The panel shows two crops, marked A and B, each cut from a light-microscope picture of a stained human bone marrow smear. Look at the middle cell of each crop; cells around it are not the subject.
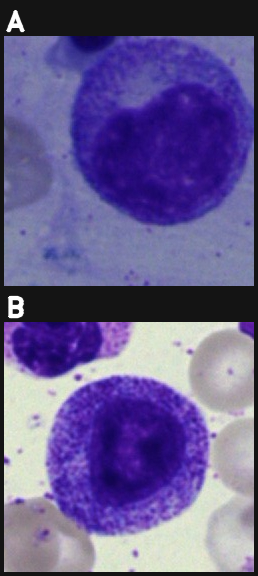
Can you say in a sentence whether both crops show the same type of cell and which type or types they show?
Yes, the cells of interest in both crops are myelocytes.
